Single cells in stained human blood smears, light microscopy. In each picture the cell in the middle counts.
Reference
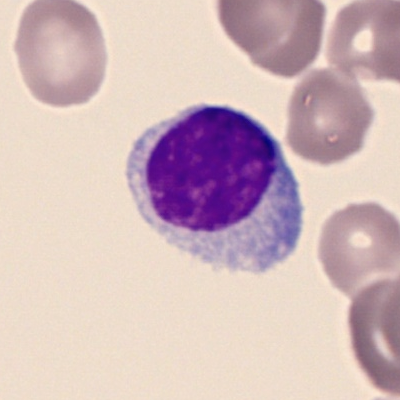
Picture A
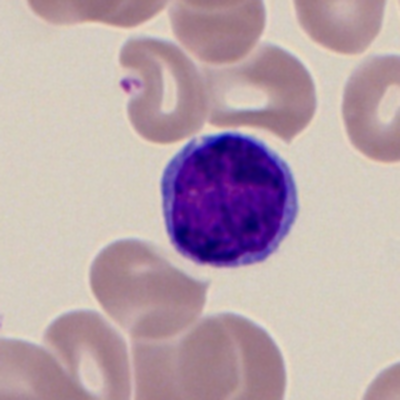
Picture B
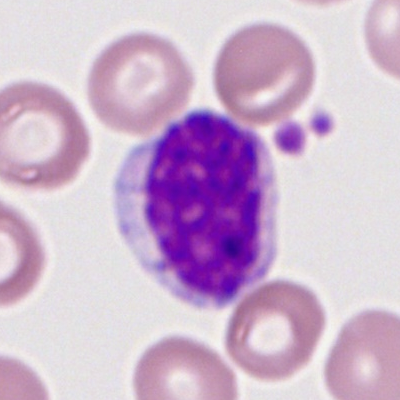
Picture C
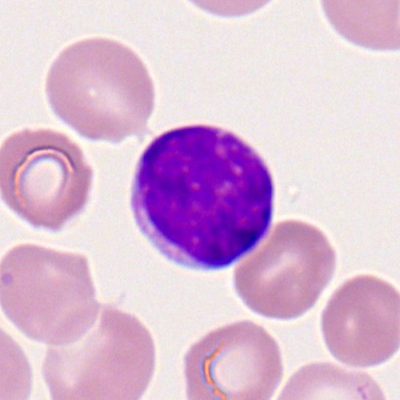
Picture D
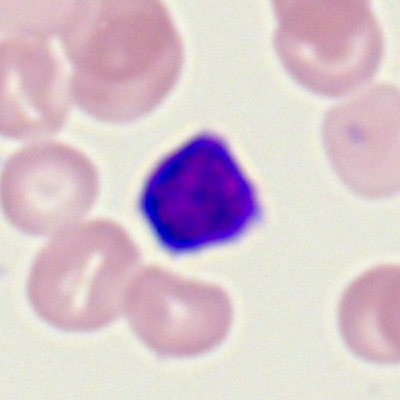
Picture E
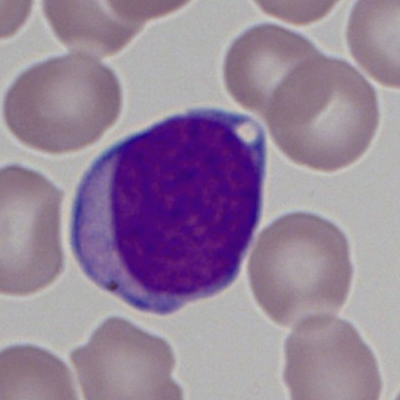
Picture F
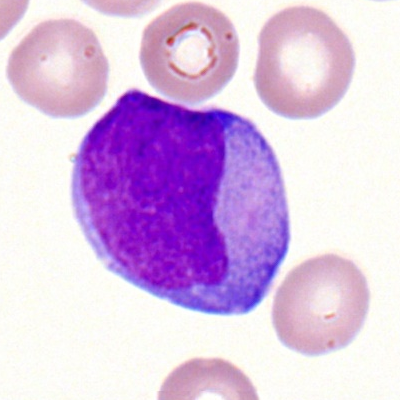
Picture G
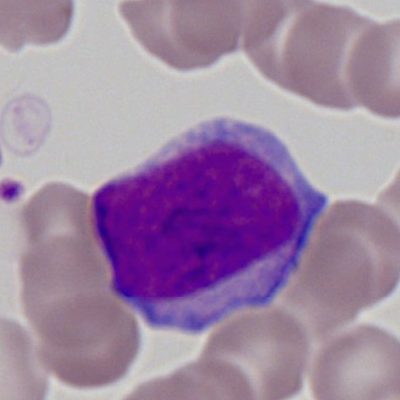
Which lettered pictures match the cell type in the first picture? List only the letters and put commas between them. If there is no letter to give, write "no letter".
A, B, C, D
